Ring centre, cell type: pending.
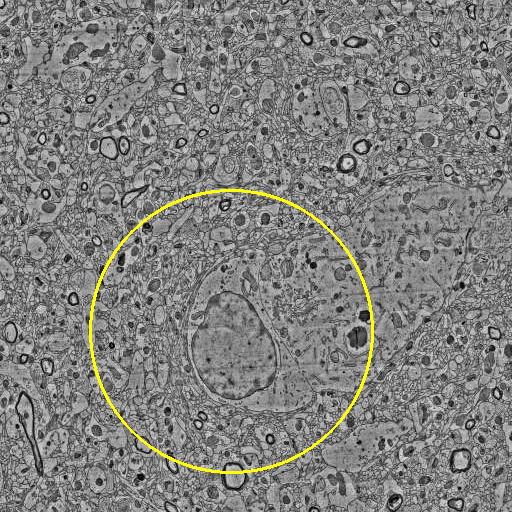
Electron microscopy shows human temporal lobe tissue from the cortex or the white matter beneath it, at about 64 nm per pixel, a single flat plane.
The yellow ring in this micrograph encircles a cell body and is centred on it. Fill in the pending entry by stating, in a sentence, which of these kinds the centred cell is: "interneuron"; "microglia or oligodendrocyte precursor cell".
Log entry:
The centred cell is recorded as a microglial cell or oligodendrocyte precursor cell.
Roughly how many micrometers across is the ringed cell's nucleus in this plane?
In this plane the nucleus spans approximately 7 by 5 micrometers.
